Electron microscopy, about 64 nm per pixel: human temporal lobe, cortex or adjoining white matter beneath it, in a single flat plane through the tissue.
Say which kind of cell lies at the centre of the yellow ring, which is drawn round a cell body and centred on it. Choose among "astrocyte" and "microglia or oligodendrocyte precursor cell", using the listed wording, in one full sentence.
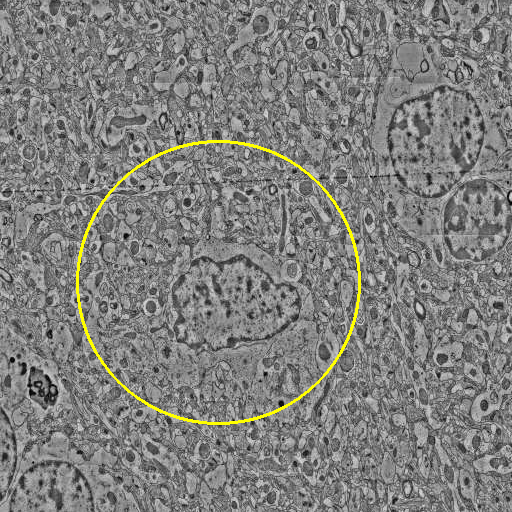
Going by the list, the cell at the yellow ring's centre is a microglial cell or oligodendrocyte precursor cell.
